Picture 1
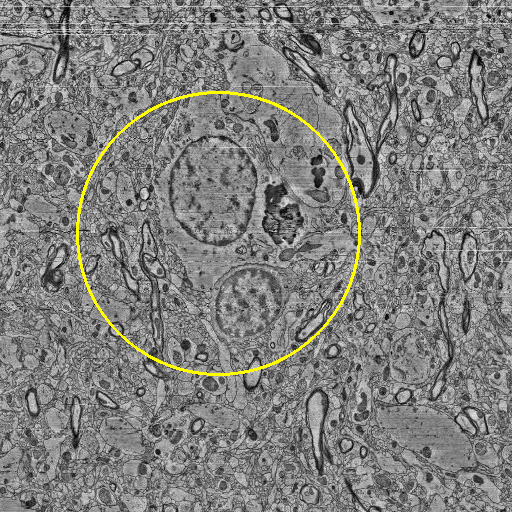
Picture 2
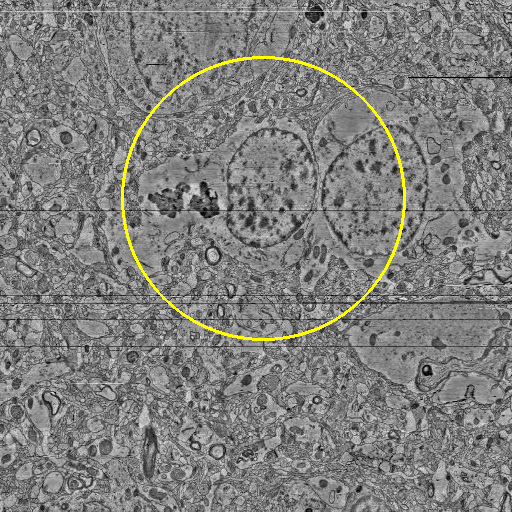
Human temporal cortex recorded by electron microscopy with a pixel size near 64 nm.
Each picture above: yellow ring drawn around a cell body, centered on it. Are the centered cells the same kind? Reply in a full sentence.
Yes, the two cells are the same kind.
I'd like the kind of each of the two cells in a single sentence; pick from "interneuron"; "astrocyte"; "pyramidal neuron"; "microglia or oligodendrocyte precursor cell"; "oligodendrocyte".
Each cell, in the first picture and the second, is an astrocyte.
